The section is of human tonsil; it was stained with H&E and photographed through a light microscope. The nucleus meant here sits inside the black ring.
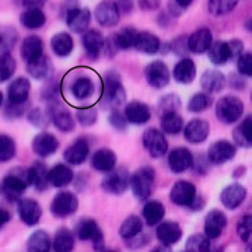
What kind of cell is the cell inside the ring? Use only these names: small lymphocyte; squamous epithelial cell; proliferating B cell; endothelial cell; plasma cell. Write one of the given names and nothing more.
small lymphocyte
